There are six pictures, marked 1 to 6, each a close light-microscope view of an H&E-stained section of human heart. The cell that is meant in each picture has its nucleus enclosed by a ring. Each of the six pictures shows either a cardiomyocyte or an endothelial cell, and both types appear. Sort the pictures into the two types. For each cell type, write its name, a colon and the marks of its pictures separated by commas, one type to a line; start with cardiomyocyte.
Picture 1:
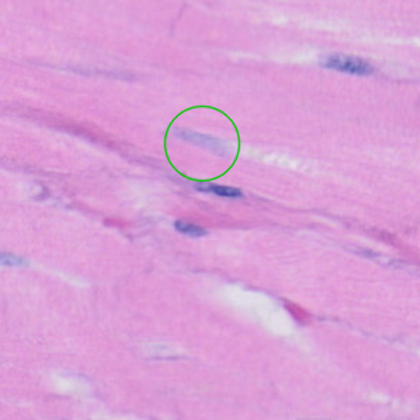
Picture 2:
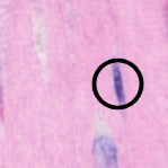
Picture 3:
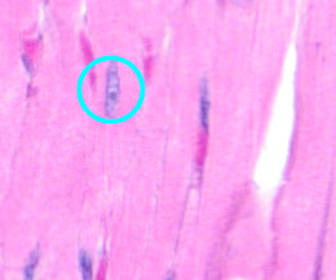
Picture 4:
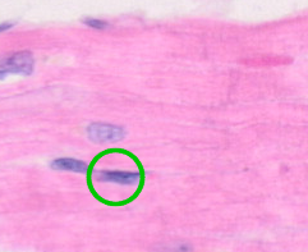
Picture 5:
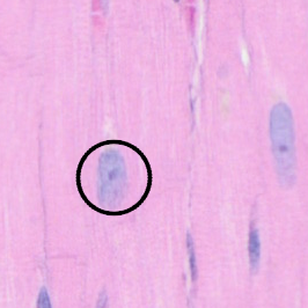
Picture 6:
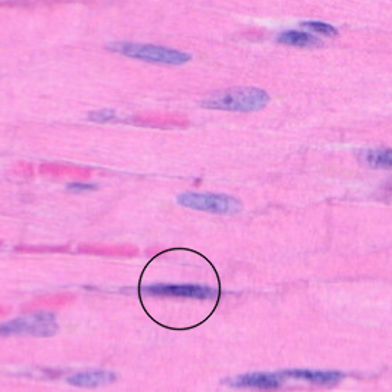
cardiomyocyte: 1, 3, 5
endothelial cell: 2, 4, 6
